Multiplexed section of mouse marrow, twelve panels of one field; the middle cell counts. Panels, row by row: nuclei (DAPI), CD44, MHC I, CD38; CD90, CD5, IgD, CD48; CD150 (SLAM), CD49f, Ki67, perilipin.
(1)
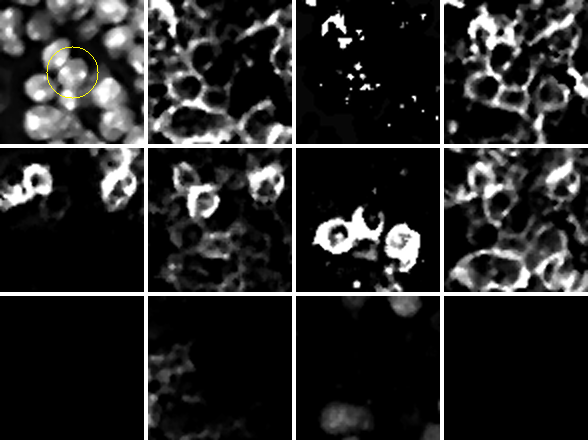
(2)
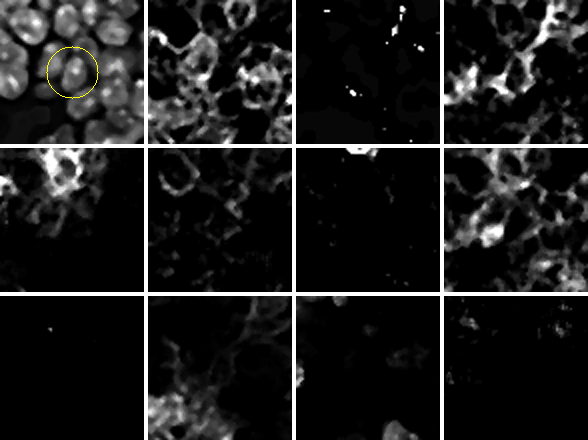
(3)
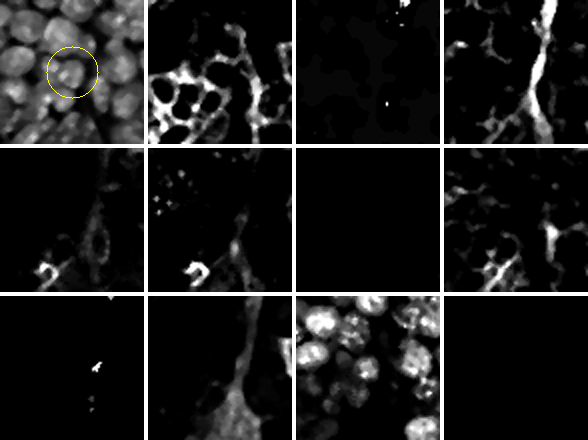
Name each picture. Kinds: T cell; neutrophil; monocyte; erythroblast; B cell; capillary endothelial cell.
(1) B cell
(2) capillary endothelial cell
(3) erythroblast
